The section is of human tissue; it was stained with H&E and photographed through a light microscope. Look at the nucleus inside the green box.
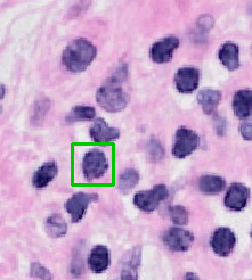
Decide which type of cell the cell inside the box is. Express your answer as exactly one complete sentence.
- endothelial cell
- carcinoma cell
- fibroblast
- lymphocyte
In this section, the cell inside the box is a lymphocyte.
